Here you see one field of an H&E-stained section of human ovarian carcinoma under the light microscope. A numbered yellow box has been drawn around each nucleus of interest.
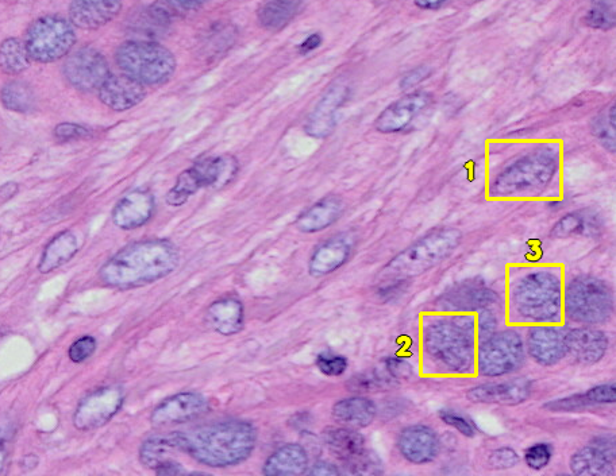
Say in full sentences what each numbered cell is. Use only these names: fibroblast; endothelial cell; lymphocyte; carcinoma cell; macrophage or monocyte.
Cell 1 is a fibroblast, cell 2 is a carcinoma cell and cell 3 is a carcinoma cell.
